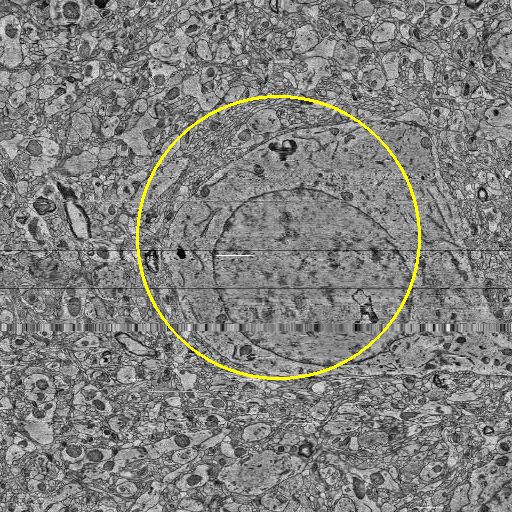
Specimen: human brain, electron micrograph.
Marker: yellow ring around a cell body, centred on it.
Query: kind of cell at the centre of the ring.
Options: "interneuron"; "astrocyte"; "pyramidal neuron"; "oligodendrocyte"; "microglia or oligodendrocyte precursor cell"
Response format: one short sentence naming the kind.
This cell body belongs to a pyramidal neuron.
